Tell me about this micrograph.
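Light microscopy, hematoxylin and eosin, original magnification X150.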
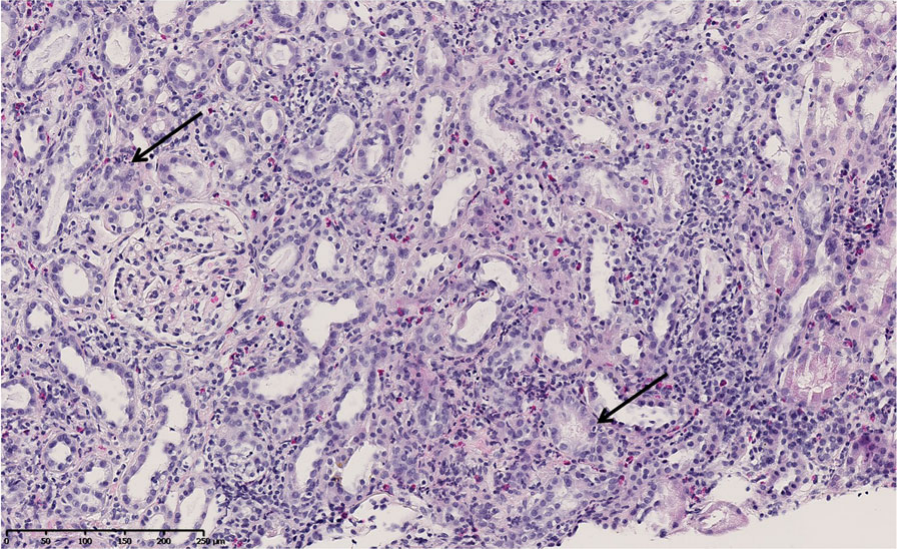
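This is kidney cortex in which the spaces between the tubules are crowded with inflammatory cells. Most of these are small round cells with dark purple nuclei, and among them lie scattered cells with bright red-pink cytoplasm. The infiltrate spreads widely through the field, pushing the tubules apart. The tubules are lined by cuboidal cells with pink cytoplasm around open lumens; in places inflammatory cells press into the tubular walls, and some tubules have lost their clear outline and look pale and pink. On the left lies a round glomerulus with its capillary tufts inside a thin capsule, looking intact amid the surrounding inflammation.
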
